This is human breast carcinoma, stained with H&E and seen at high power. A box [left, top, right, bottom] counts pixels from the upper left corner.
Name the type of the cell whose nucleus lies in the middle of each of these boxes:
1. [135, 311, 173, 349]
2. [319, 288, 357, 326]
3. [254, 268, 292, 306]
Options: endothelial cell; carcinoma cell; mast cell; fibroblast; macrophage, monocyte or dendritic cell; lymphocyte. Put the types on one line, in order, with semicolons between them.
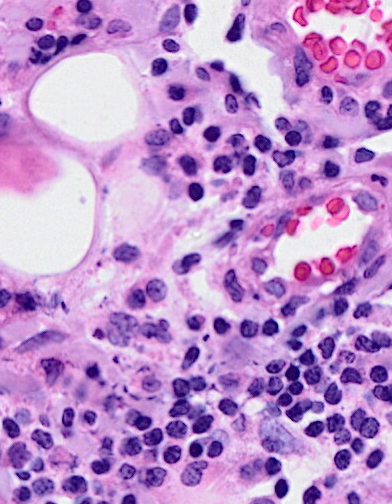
macrophage, monocyte or dendritic cell; lymphocyte; endothelial cell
